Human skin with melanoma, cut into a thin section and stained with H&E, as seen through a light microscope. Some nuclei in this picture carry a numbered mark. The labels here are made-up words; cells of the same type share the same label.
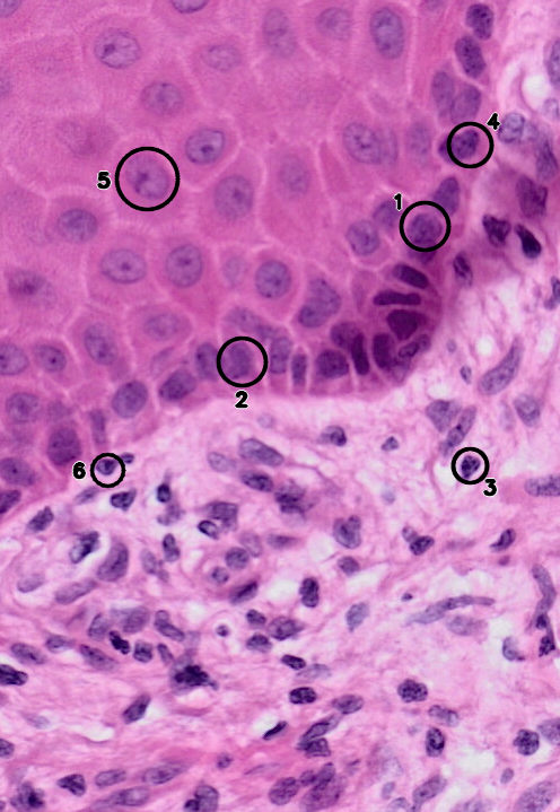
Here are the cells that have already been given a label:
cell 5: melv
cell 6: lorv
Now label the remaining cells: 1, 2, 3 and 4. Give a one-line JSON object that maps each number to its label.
{"1": "melv", "2": "melv", "3": "lorv", "4": "melv"}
